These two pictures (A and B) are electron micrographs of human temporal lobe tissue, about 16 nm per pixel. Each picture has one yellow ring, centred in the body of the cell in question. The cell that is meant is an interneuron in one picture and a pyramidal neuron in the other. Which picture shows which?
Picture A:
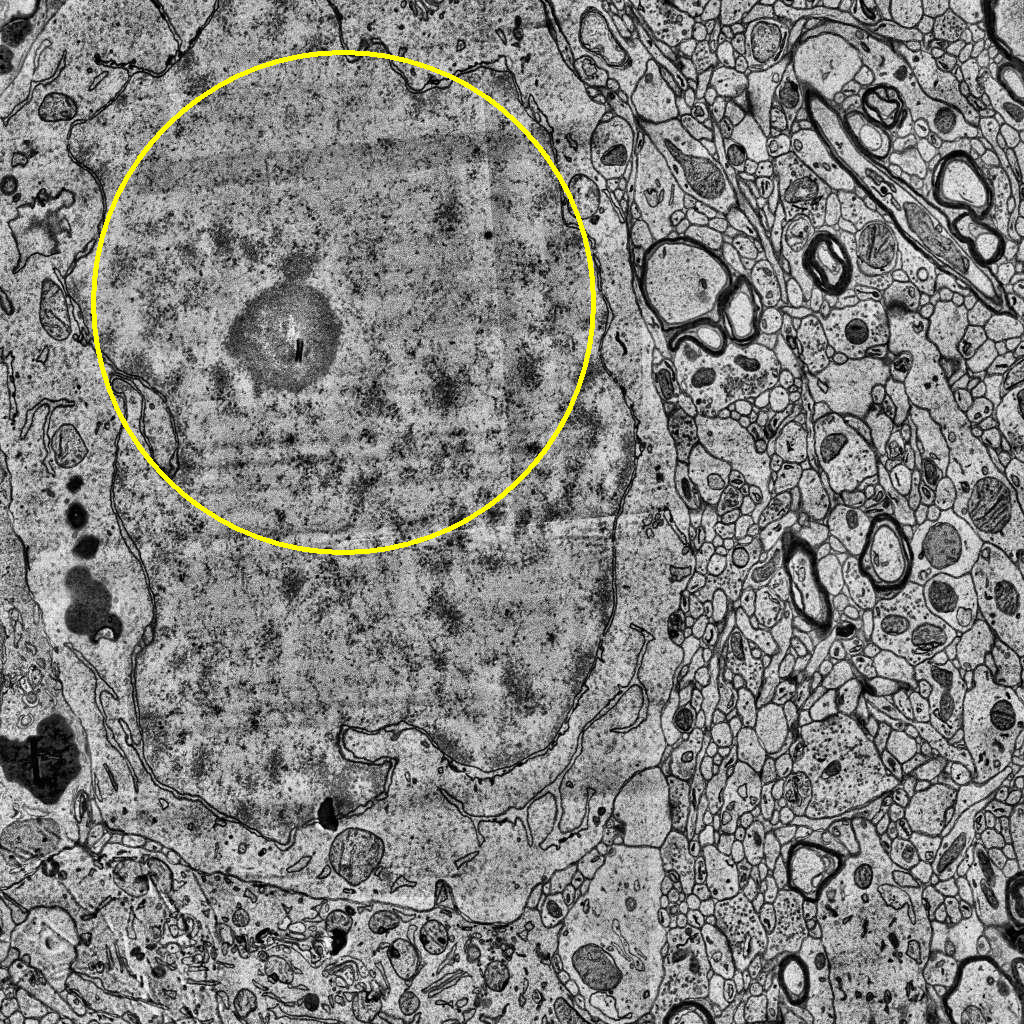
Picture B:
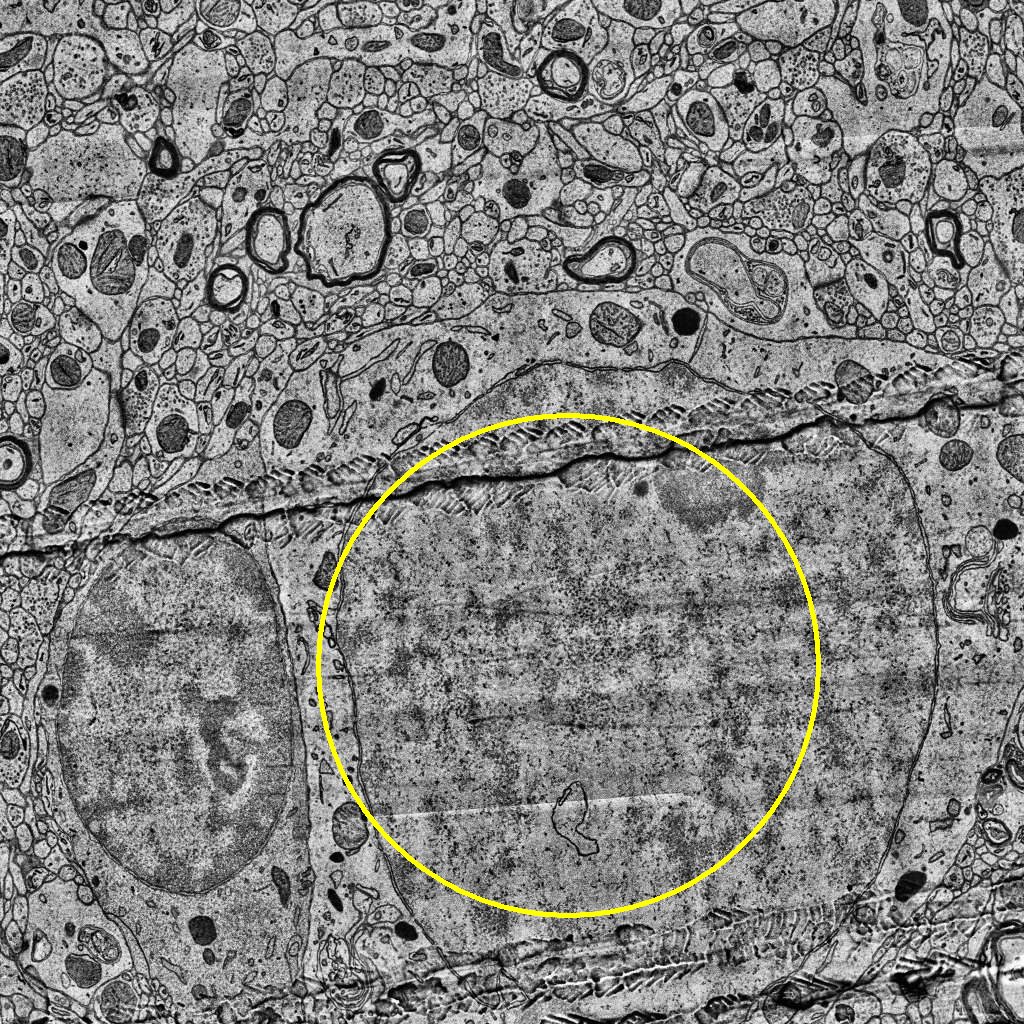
Picture A is of an interneuron, and picture B is of a pyramidal neuron.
